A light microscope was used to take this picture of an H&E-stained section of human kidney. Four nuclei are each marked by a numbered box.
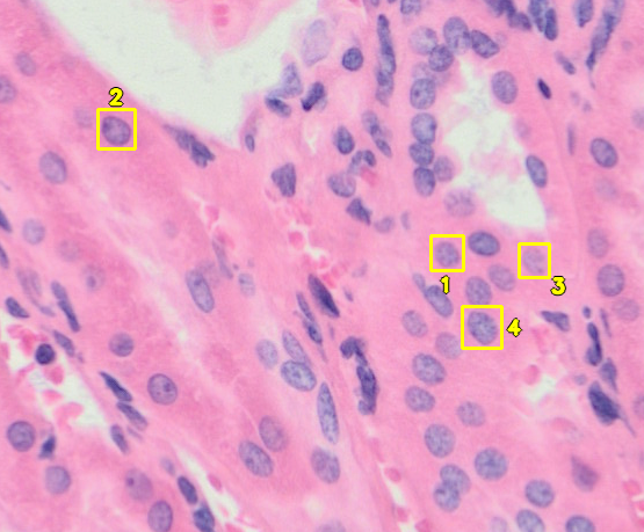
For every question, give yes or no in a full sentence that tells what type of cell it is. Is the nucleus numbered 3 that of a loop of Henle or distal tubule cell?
Yes, the cell that goes by number 3 is a loop of Henle or distal tubule cell.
